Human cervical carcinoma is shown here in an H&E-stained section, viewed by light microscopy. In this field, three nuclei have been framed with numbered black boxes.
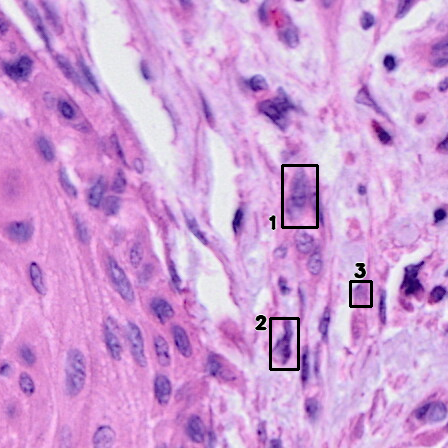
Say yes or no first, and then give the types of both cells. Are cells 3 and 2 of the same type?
Yes, both cell 3 and cell 2 are fibroblasts.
